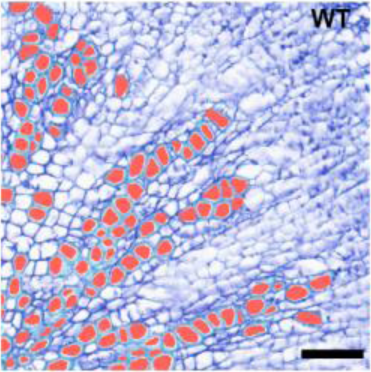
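The vessels are wide, rounded lumens with turquoise walls, grouped in radial rows and clusters. Between the rows lie bands of smaller, pale cells with purple-blue walls. Toward the upper right the tissue consists of small thin-walled cells without any vessels.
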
